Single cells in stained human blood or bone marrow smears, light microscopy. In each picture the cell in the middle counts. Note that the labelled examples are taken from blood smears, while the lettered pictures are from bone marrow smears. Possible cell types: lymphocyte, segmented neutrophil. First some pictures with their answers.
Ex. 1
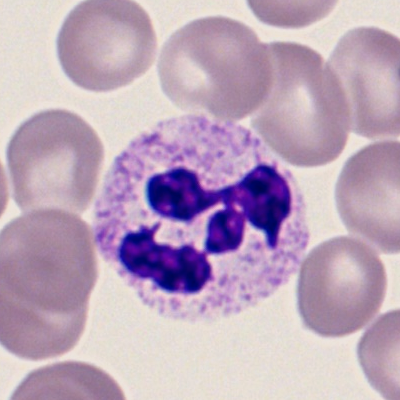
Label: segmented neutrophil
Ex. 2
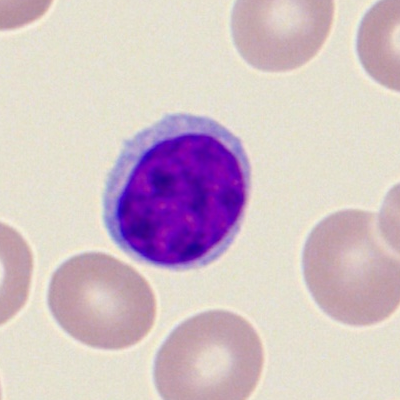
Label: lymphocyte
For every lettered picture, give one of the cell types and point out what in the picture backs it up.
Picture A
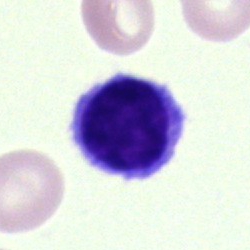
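lymphocyte: The cytoplasm is only a very thin blue rim at the edge of the cell.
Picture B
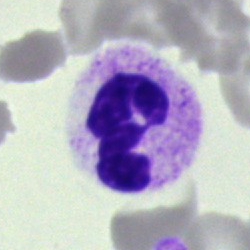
segmented neutrophil: Fine purple granules are scattered through the cytoplasm.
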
